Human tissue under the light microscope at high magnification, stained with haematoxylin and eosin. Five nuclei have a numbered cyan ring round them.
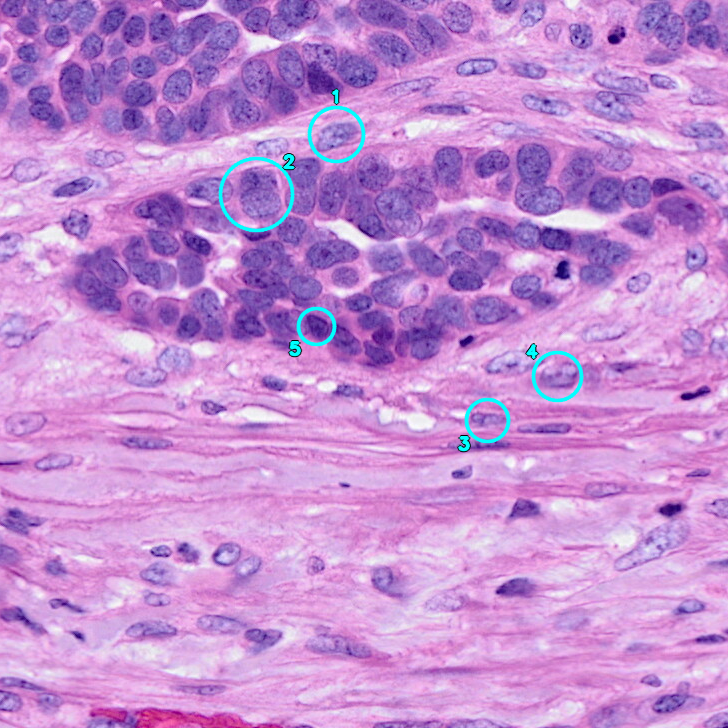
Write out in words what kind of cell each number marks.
Cell 1 is a fibroblast, cell 2 is a carcinoma cell, cell 3 is a fibroblast, cell 4 is a fibroblast and cell 5 is a carcinoma cell.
